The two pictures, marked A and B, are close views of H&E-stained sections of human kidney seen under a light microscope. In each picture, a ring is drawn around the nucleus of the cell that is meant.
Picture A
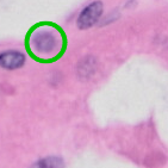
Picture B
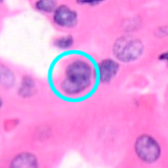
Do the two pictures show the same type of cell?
yes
